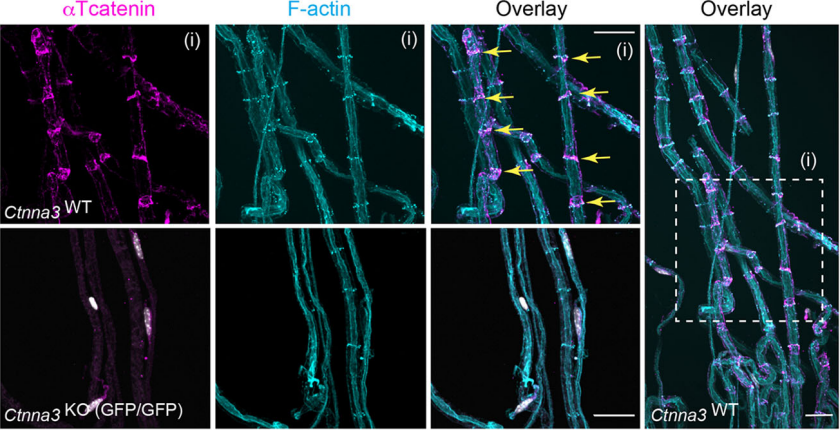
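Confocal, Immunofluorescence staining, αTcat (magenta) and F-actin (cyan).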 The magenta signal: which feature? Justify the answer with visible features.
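Myelin incisures. Magenta lies in short bands and clusters spaced along the fibres. The bands cross the fibres at intervals along their length.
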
